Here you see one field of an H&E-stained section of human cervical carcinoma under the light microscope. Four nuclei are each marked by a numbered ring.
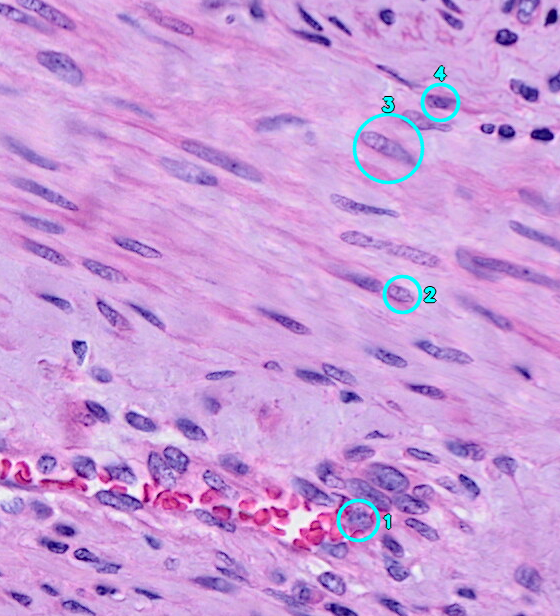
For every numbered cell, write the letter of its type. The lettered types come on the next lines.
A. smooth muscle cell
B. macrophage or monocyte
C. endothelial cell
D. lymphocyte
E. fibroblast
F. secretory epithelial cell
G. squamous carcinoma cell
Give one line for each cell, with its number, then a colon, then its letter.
1: C
2: A
3: A
4: A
